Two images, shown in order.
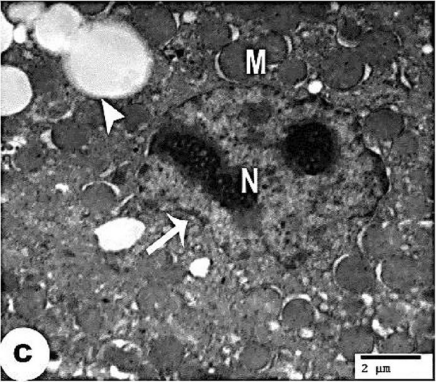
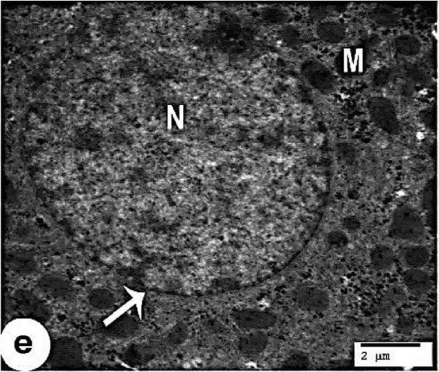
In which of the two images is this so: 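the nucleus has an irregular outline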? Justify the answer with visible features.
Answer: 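The first image. Second image: the nucleus is large and smoothly round with an even envelope. First image: the nucleus has an uneven, indented outline.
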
